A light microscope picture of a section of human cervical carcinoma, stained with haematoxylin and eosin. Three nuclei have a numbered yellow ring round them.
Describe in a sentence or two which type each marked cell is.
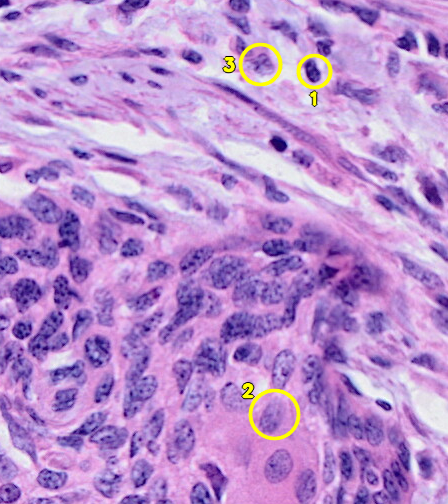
Cell 1 is a lymphocyte, cell 2 is a squamous carcinoma cell and cell 3 is a macrophage or monocyte.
